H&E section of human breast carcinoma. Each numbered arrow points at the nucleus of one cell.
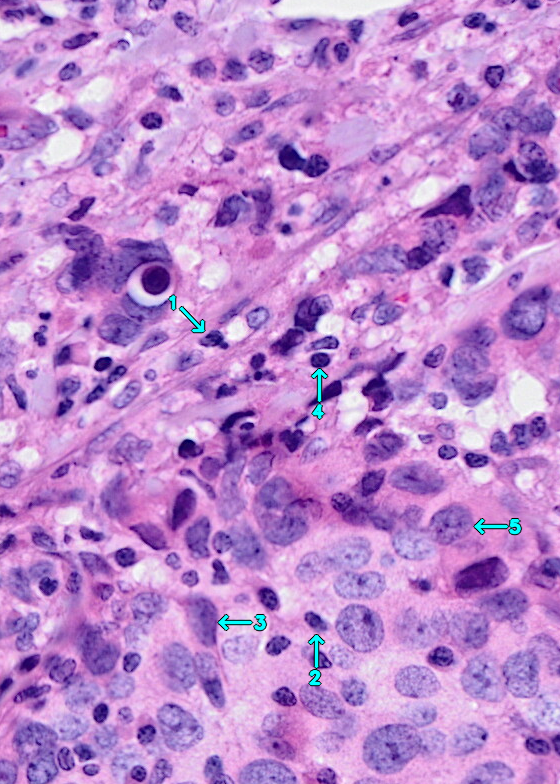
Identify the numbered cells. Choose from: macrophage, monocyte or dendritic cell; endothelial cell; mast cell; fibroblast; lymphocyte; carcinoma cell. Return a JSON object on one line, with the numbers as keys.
{"1": "lymphocyte", "2": "lymphocyte", "3": "carcinoma cell", "4": "lymphocyte", "5": "carcinoma cell"}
